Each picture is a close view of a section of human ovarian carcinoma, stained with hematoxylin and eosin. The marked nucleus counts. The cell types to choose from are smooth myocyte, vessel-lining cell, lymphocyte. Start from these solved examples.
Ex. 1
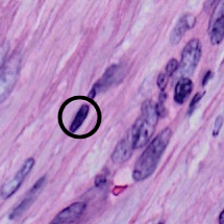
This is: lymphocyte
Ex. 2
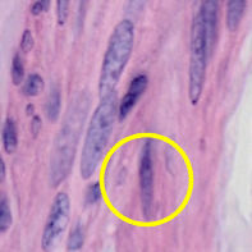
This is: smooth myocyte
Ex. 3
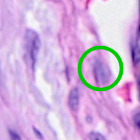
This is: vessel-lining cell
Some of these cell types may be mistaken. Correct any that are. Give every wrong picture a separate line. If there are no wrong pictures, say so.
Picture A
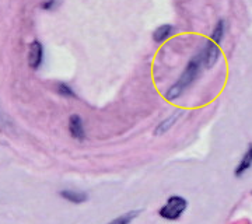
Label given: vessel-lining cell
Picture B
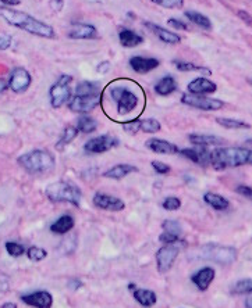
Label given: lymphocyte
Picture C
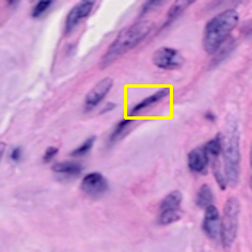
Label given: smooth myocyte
A: change vessel-lining cell to smooth myocyte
